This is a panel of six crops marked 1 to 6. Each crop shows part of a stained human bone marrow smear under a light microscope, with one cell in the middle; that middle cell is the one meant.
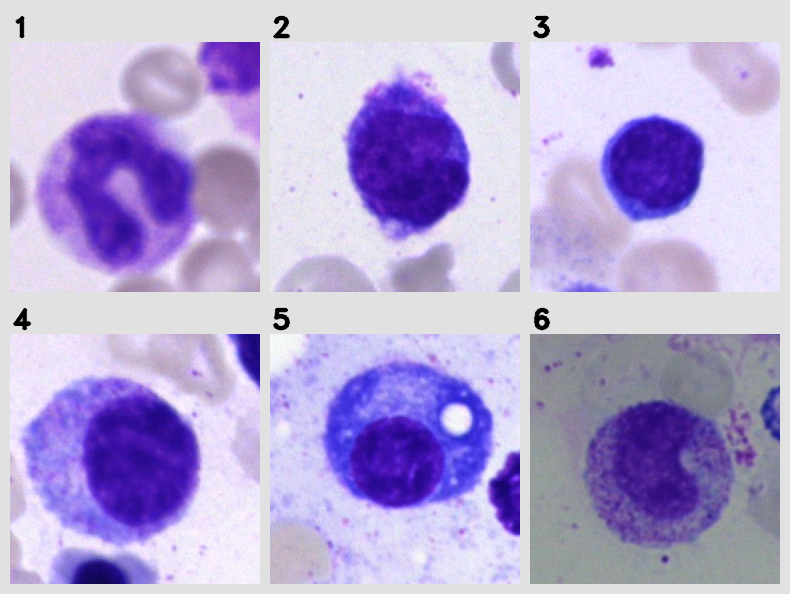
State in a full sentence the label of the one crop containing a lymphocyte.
Crop 3, and no other, shows a lymphocyte.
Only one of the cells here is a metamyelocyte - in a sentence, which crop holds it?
The cell identified as a metamyelocyte is the one in crop 6.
